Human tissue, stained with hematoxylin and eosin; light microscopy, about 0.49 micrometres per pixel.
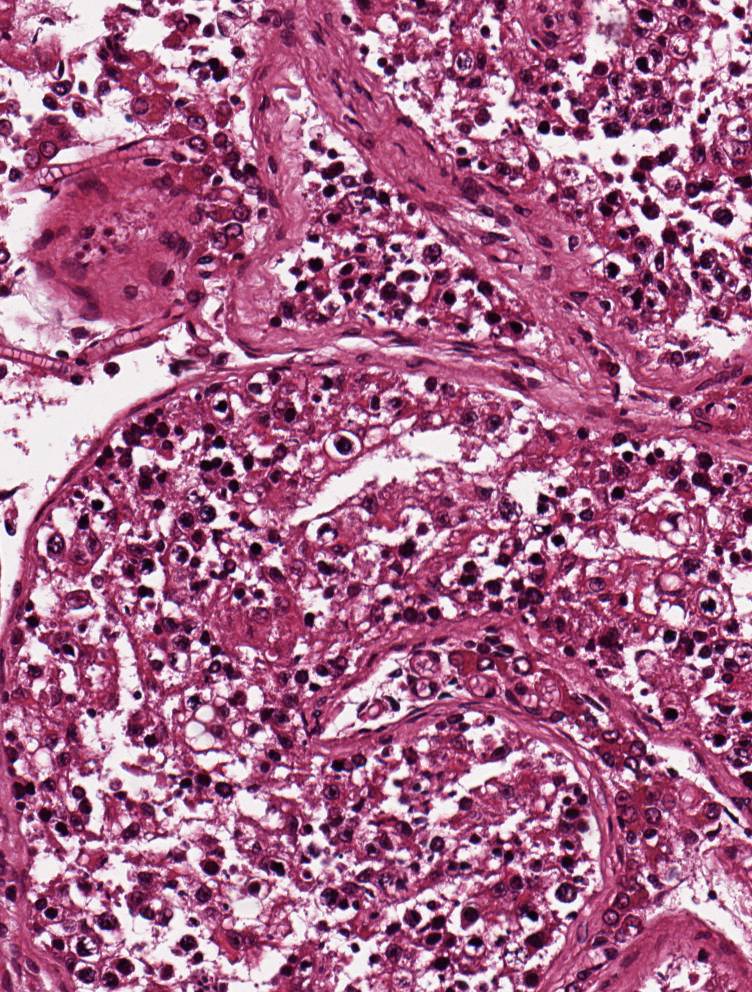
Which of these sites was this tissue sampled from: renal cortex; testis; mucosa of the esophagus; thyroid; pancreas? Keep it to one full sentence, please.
The tissue seen in this section was sampled from the testis.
